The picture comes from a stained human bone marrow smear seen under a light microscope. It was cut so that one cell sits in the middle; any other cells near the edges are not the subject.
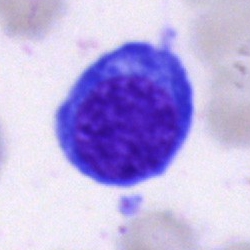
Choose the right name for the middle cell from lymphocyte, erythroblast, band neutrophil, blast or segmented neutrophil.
erythroblast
